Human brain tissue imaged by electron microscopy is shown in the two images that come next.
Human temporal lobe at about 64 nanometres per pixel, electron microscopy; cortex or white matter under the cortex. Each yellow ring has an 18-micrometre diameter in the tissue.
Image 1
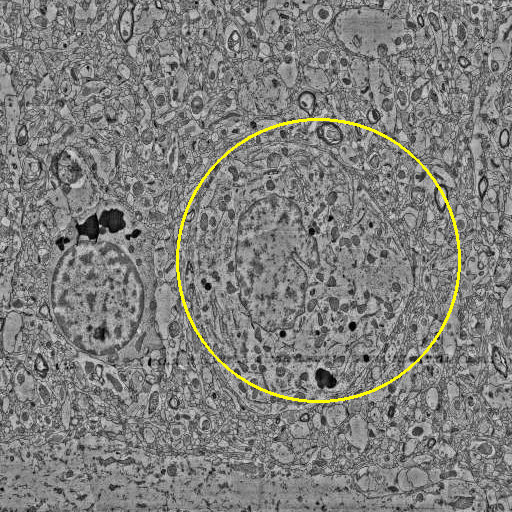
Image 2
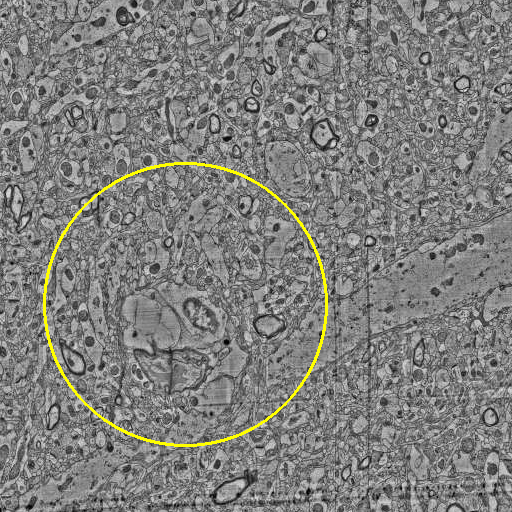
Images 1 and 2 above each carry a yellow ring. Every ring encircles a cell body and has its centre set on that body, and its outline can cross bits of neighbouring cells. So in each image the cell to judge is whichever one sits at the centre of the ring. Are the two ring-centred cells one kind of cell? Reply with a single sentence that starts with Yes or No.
No, in Image 1 and Image 2 the cells at the centres of their rings fall into two types.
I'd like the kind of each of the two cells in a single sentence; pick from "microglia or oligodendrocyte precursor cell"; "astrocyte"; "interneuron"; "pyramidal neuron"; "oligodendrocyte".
The first ring marks an interneuron, and the second ring marks a microglial cell or oligodendrocyte precursor cell.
